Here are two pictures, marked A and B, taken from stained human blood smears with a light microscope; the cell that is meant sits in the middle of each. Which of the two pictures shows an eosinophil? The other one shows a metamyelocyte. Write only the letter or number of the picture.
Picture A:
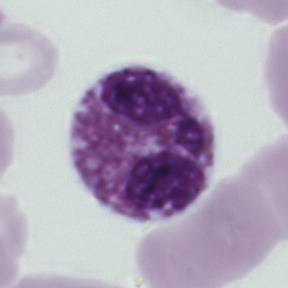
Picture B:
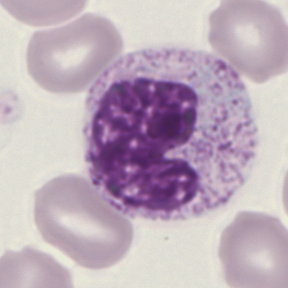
A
